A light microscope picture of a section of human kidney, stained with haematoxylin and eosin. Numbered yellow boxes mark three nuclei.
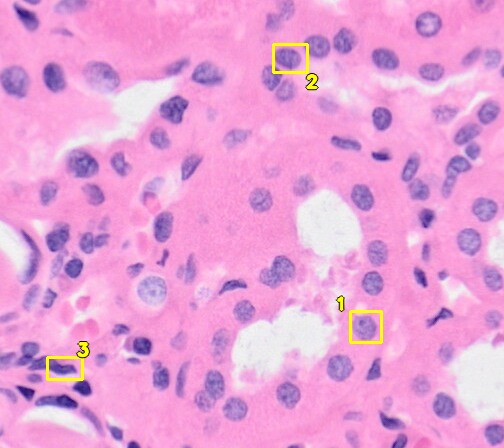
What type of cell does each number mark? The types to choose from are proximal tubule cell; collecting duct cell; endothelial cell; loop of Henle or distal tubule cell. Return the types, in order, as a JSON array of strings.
["loop of Henle or distal tubule cell", "collecting duct cell", "endothelial cell"]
